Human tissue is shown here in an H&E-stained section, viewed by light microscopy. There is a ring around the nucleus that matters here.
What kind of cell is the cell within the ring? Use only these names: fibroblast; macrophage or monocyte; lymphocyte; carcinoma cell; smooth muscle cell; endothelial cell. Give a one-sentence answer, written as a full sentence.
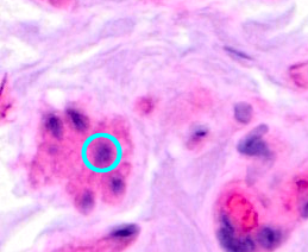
As for its identity, the cell within the ring is a smooth muscle cell.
